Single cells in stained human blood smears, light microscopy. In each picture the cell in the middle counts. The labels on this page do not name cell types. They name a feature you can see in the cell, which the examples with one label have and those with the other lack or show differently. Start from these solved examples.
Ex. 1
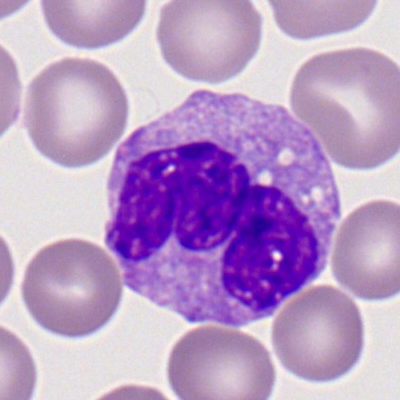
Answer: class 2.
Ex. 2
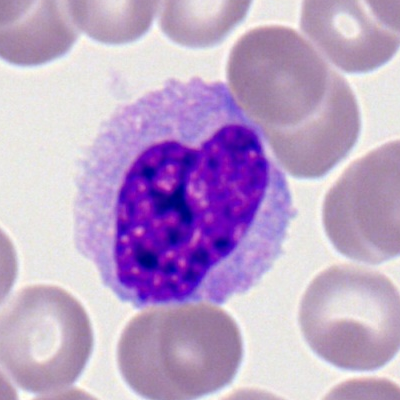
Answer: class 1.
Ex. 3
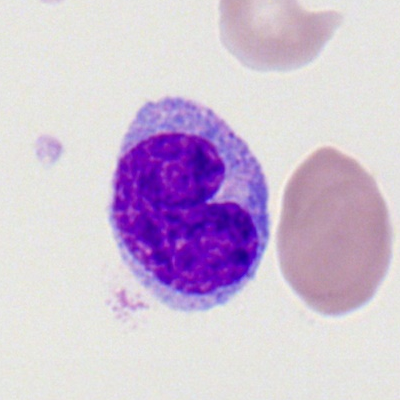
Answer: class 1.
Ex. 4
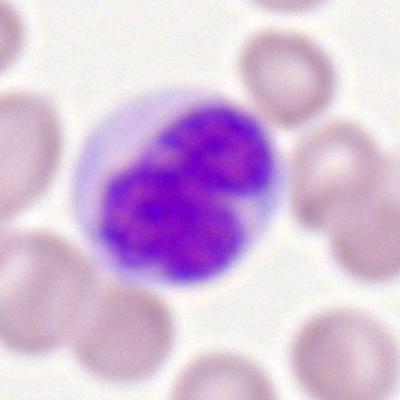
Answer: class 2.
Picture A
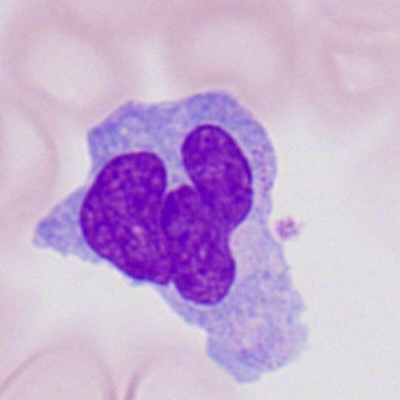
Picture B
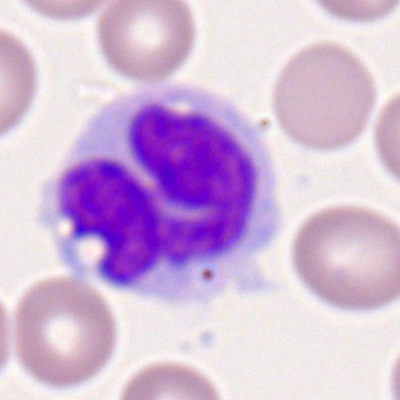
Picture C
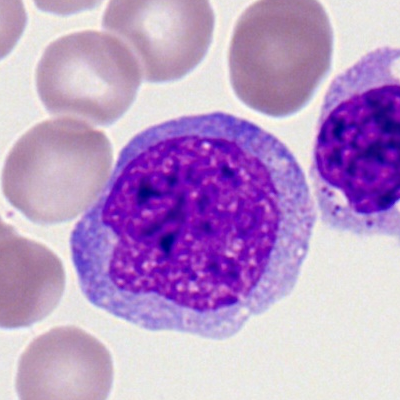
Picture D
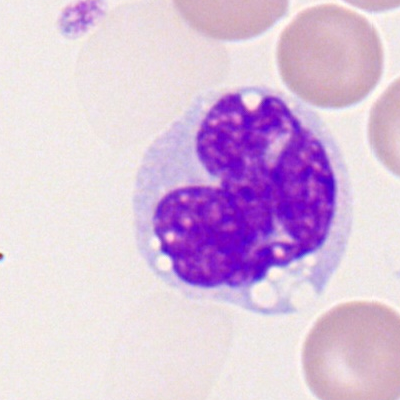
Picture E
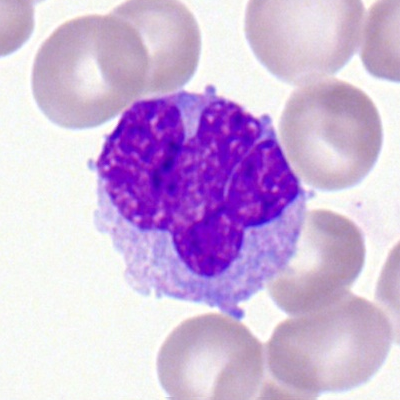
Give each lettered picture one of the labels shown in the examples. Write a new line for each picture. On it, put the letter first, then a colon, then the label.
A: class 2.
B: class 2.
C: class 1.
D: class 2.
E: class 2.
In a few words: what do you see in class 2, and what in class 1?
In class 2: lobed nucleus. In class 1: single compact nucleus.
